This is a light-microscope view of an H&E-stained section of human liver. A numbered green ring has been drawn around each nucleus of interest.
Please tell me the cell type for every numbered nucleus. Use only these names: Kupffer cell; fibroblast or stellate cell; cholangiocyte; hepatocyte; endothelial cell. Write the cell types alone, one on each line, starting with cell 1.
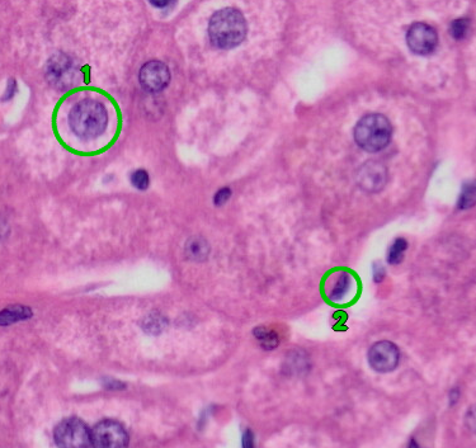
hepatocyte
endothelial cell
